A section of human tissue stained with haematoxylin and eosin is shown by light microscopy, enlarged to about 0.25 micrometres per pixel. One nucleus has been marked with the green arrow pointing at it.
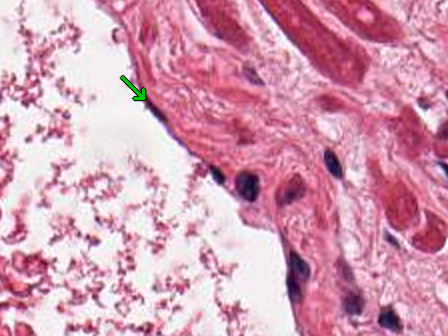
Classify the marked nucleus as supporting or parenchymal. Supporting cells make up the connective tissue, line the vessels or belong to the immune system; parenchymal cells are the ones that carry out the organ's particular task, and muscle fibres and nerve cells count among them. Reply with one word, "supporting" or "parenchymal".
supporting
